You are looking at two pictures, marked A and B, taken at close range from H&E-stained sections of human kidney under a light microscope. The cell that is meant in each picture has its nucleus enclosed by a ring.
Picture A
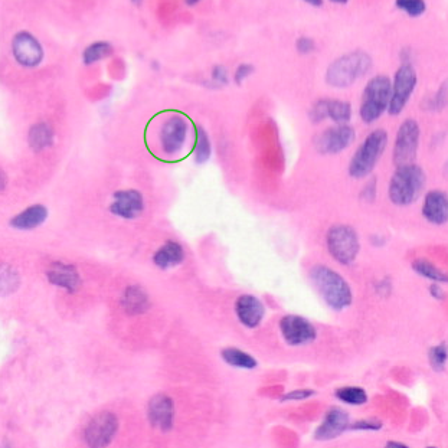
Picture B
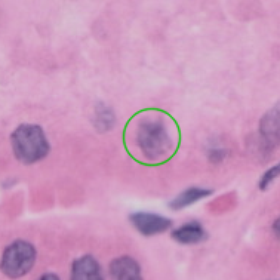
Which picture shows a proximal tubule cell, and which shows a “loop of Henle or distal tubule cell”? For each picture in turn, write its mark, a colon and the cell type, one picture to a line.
A: loop of Henle or distal tubule cell
B: proximal tubule cell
